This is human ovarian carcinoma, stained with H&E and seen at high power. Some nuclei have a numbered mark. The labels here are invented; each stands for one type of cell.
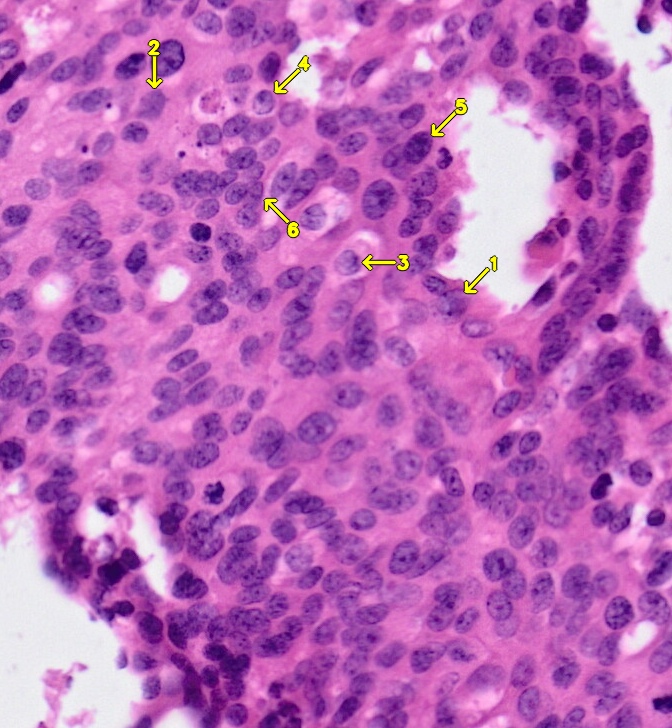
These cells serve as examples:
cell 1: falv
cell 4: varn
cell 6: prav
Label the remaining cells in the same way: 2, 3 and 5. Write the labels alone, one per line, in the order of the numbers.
prav
varn
prav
